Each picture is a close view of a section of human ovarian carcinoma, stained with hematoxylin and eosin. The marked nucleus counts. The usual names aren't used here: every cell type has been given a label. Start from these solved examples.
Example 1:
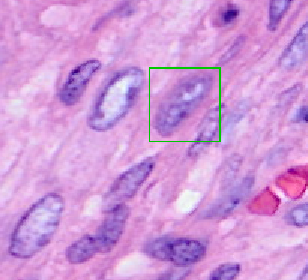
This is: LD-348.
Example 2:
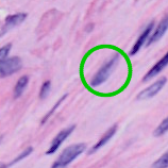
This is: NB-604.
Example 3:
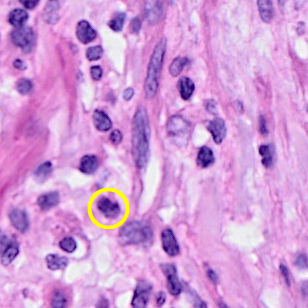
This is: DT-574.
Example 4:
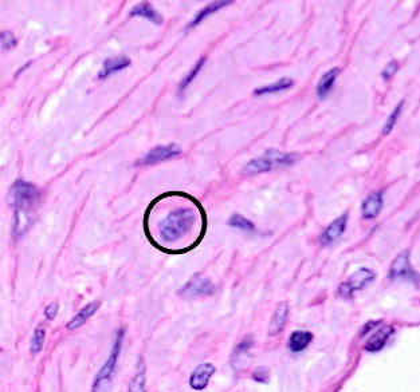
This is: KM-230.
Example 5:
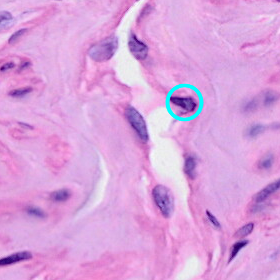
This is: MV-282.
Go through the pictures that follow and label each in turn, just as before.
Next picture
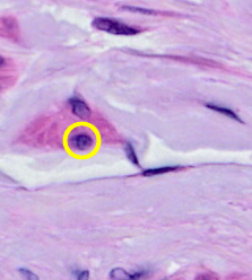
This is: NB-604.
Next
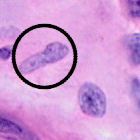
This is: NB-604.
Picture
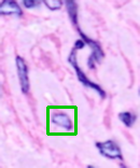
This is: LD-348.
